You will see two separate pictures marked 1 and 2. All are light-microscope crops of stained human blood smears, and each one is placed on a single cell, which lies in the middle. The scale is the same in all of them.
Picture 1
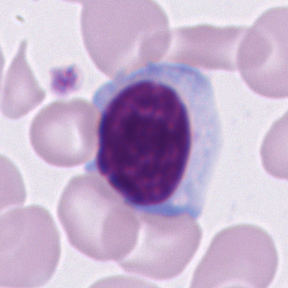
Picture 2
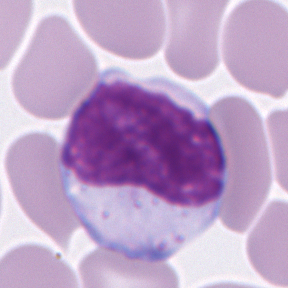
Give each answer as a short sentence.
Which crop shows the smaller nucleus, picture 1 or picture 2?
Picture 1 shows the smaller nucleus, since that in picture 2 covers about 1.5 times as much area.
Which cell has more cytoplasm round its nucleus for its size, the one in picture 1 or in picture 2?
In picture 1 the nucleus takes up the smaller part of its cell.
